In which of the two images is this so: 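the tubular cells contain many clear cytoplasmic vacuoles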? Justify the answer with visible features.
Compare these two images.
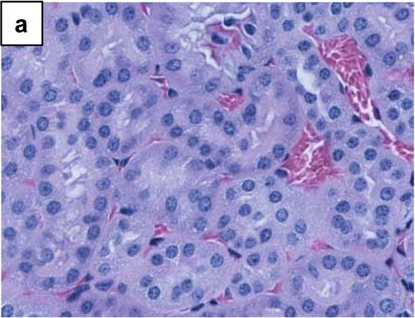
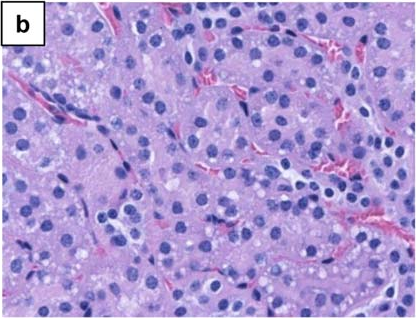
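Second image: numerous small clear vacuoles pepper the pink cytoplasm of the tubular cells. First image: the tubular cell cytoplasm is evenly pink-grey, with hardly any vacuoles. The answer: the second image.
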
